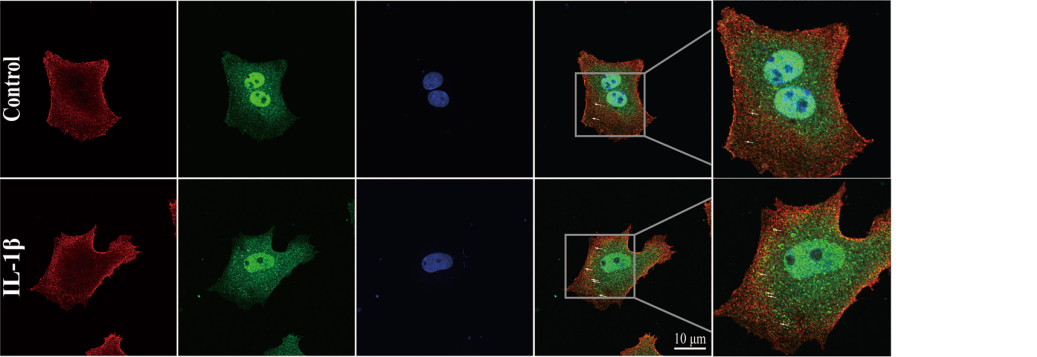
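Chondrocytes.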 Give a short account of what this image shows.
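The red signal covers the whole cytoplasm with a fine granular texture and is densest toward the cell edges. The green signal fills the nucleus, where darker rounded nucleoli stand out, and also spreads finely through the cytoplasm. The blue stain marks large oval nuclei; one cell in the upper row holds two nuclei side by side. White arrows point to small cytoplasmic spots where red and green overlap, and the enlarged view on the right shows these overlapping spots near the periphery.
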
